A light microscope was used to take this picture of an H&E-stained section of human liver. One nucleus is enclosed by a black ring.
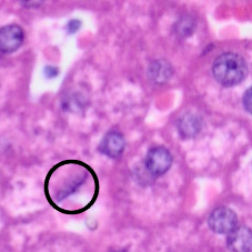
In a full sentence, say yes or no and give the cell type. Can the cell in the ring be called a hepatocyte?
No, the cell in the ring is not a hepatocyte, being instead an endothelial cell.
